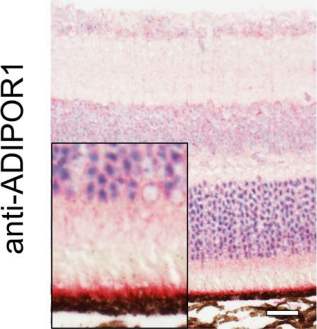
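At the top a thin, sparse row of nuclei lines the inner surface, then a pale fibrous band, then a band of loosely packed nuclei, another pale band, and then a thick layer of small, crowded, dark blue-purple nuclei. Below these lies a pale, finely striated zone, and at the very bottom a dark brown pigmented layer with loose pigmented tissue beneath it. The enlarged inset shows that a vivid red band sits right along this pigmented layer, with fainter pink staining scattered through the upper layers.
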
